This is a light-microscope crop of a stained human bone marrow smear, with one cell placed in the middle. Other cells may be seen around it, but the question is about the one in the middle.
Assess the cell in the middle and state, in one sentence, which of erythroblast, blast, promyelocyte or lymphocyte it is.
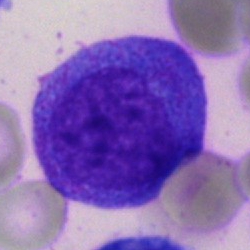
In the centre of this crop there is a promyelocyte.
